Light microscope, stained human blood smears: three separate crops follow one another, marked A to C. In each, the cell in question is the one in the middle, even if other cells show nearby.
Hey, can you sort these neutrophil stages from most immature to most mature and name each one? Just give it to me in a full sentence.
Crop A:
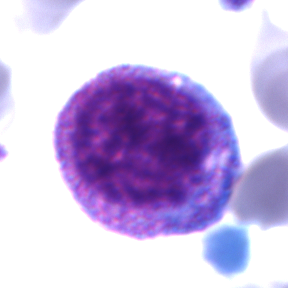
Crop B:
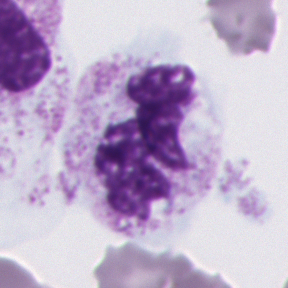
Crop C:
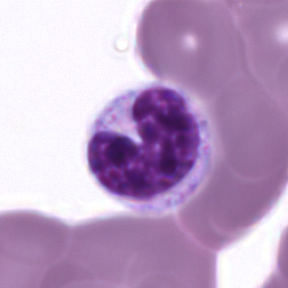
The maturity sequence, least mature to most mature, is crop A (a promyelocyte), crop C (a band neutrophil) and crop B (a segmented neutrophil).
